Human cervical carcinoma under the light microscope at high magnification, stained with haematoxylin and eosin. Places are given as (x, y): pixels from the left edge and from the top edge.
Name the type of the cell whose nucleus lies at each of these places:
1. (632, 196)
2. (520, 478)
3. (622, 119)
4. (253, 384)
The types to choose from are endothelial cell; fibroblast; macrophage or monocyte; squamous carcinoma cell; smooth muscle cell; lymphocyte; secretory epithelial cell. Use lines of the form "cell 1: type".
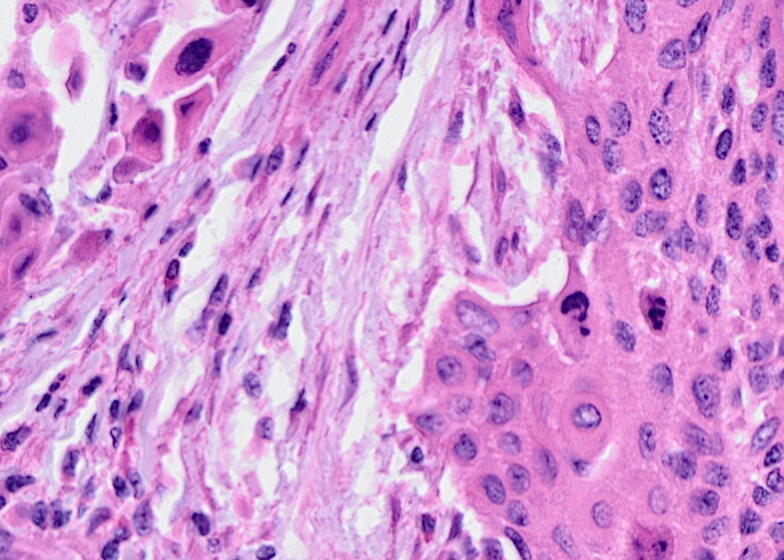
cell 1: squamous carcinoma cell
cell 2: squamous carcinoma cell
cell 3: squamous carcinoma cell
cell 4: fibroblast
